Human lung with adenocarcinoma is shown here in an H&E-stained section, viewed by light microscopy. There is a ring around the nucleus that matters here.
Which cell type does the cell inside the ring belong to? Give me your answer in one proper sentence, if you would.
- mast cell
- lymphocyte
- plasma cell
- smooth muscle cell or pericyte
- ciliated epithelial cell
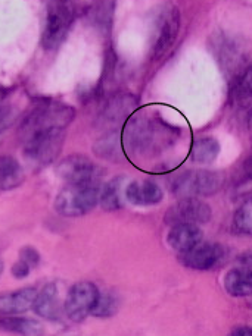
The category to which the cell inside the ring belongs is that of a ciliated epithelial cell.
